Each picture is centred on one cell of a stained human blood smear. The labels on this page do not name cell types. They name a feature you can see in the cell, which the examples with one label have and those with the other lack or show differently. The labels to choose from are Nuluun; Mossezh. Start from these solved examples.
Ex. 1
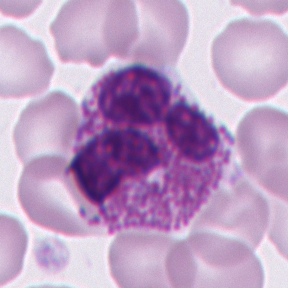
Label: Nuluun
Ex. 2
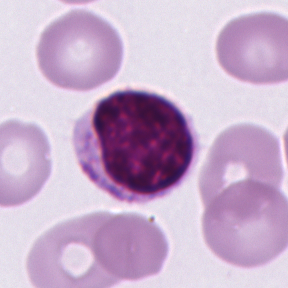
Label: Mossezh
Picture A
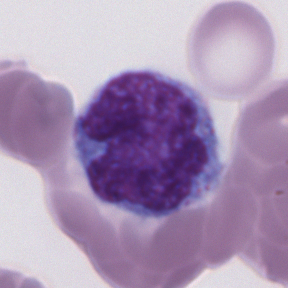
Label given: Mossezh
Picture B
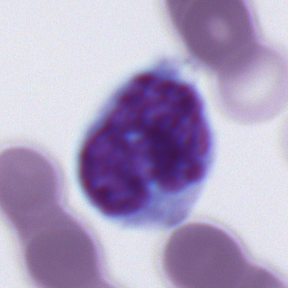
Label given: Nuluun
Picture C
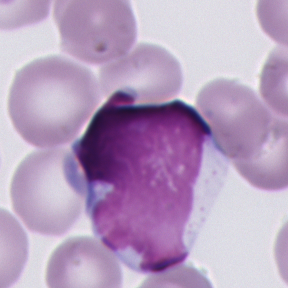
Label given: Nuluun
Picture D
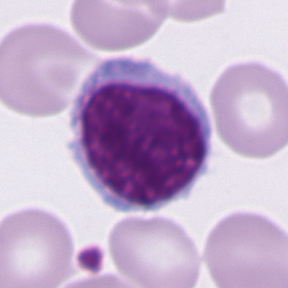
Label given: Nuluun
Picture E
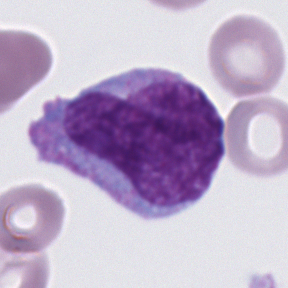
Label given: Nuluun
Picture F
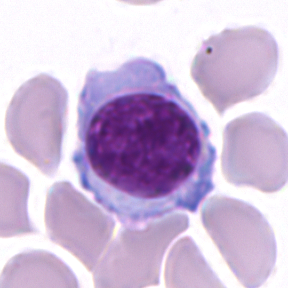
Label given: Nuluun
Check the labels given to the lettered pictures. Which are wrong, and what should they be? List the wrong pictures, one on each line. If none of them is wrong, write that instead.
B: Mossezh, not Nuluun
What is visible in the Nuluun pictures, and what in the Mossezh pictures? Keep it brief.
Nuluun, ragged outline or projections; Mossezh, smooth outline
